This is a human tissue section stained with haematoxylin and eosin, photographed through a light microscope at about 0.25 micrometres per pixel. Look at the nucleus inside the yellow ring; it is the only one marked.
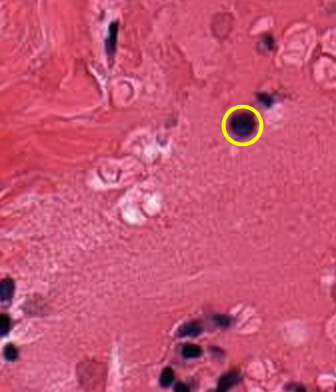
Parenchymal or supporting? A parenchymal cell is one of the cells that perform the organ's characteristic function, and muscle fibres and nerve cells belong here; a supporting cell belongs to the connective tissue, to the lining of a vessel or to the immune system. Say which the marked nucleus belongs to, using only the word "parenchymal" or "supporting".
supporting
